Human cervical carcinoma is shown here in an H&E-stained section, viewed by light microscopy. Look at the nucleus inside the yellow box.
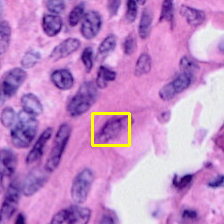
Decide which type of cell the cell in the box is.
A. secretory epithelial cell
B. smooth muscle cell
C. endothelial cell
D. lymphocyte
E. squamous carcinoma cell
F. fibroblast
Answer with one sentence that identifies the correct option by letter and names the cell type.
Of the options offered, E is correct, as the cell in the box is a squamous carcinoma cell.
